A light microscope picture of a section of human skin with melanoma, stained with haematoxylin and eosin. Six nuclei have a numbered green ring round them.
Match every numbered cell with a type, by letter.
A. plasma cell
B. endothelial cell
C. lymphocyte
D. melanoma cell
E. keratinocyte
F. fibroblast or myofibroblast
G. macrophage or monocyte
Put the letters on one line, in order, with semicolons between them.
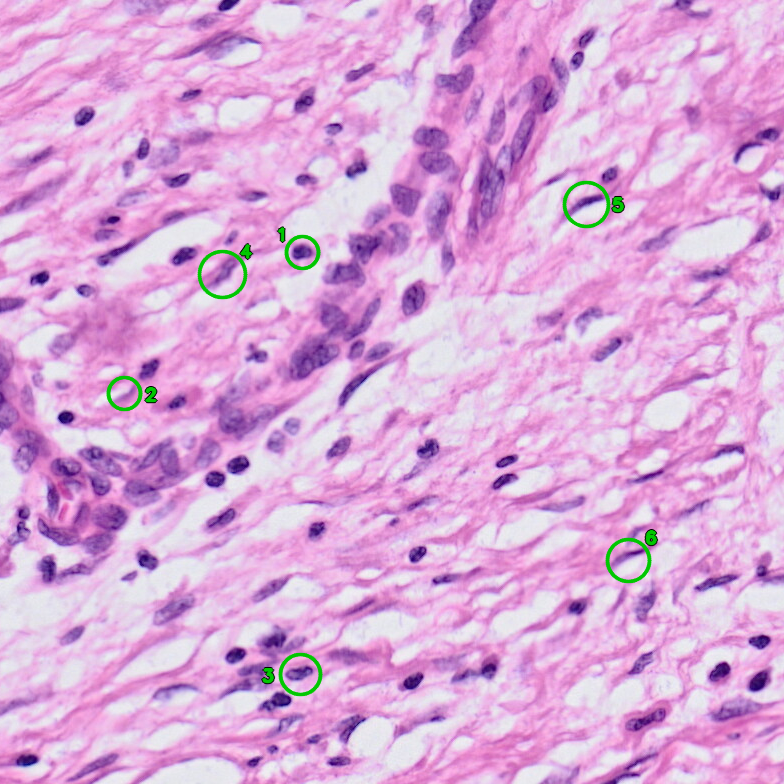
C; F; C; F; F; F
